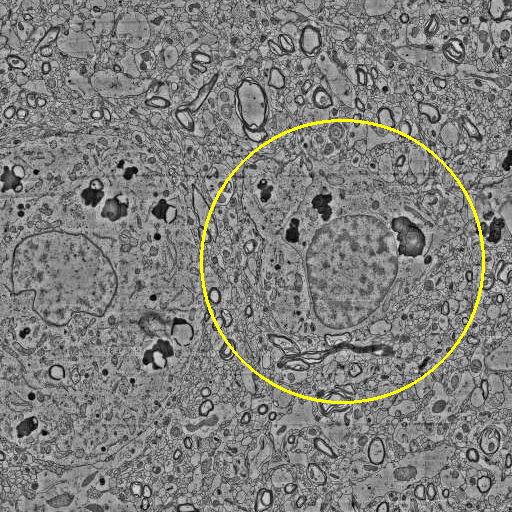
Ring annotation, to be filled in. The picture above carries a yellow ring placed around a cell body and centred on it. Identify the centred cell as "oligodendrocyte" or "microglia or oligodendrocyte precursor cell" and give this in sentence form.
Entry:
The cell in the middle of the ring is an oligodendrocyte.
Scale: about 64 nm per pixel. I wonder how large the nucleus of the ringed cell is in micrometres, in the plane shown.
The nucleus comes to roughly 8 by 6 micrometres in this plane.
